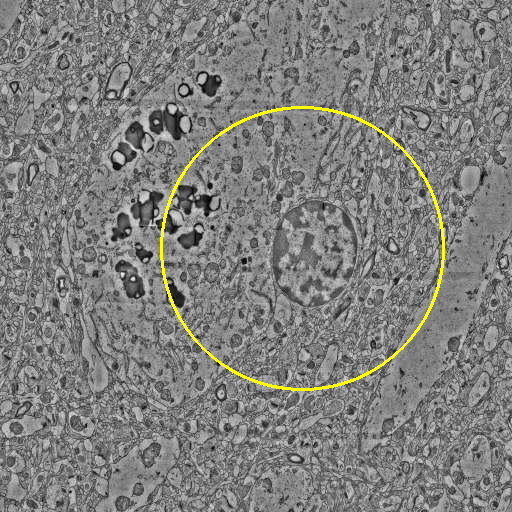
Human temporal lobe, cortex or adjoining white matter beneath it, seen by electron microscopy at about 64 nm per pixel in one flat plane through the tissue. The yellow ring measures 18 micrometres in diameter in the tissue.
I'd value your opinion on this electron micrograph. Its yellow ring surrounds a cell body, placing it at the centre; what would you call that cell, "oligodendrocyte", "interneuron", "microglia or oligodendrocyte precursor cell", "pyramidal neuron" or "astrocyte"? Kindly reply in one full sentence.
It is a microglial cell or oligodendrocyte precursor cell that sits centred within the yellow ring in this micrograph.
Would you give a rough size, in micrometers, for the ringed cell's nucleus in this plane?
In this plane, the nucleus of the cell at the centre of the ring measures about 7 by 5 micrometres.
